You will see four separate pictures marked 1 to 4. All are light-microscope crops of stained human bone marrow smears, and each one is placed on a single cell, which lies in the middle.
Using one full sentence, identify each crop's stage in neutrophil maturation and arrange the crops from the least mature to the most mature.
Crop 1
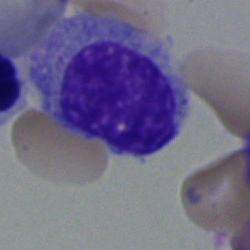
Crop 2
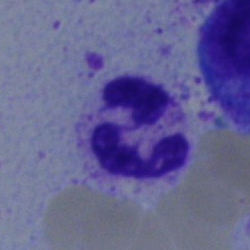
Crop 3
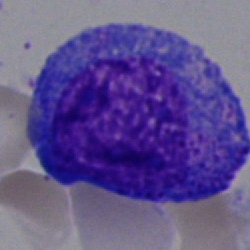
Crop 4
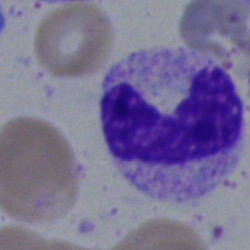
In ascending maturational order, the crops are crop 3 (a promyelocyte), crop 1 (a myelocyte), crop 4 (a band neutrophil) and crop 2 (a segmented neutrophil).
